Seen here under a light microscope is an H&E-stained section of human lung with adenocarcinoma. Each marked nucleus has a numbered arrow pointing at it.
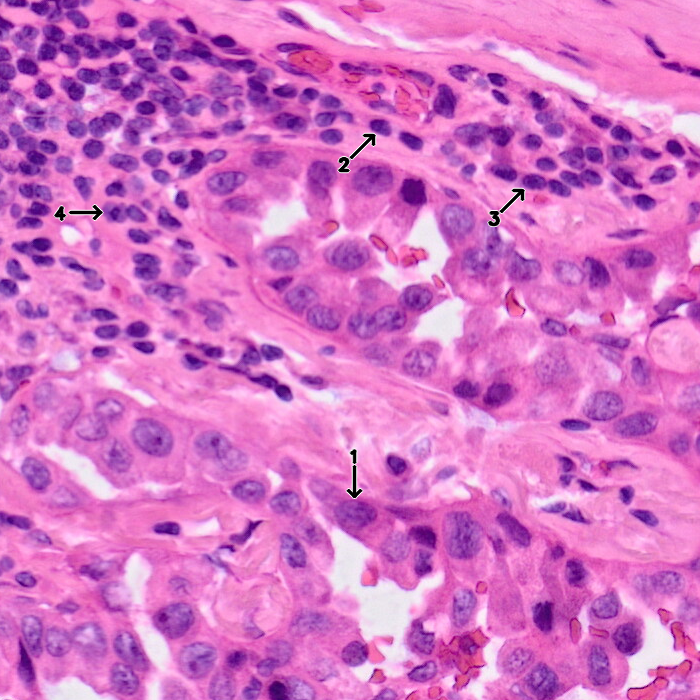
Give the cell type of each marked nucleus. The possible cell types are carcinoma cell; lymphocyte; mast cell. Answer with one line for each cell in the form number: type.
1: carcinoma cell
2: lymphocyte
3: lymphocyte
4: lymphocyte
